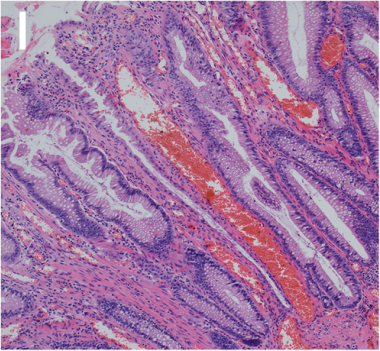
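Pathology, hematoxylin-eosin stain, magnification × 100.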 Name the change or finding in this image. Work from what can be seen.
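Pink, streaming spindle-cell strands fill the spaces between the glands. The usual loose lamina propria between the crypts is largely replaced by this fibrous-looking tissue.
Answer: fibromuscular obliteration of the lamina propria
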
